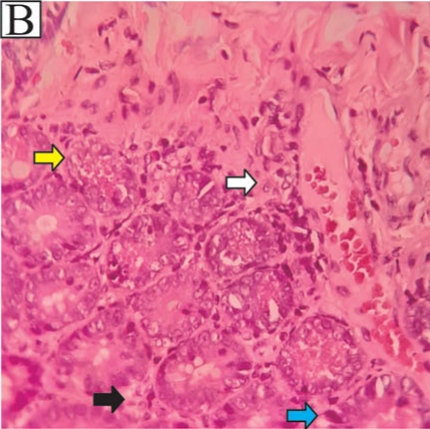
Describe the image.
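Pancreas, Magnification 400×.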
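This is pancreatic tissue made of rounded glandular units surrounded by loose pink connective tissue. The upper part of the field is a broad area of pale pink fibrous stroma with scattered small, dark, round nuclei of inflammatory cells. The glandular units below have cells with pale, foamy, vacuolated cytoplasm and indistinct borders, suggesting necrosis. Some nuclei are small and dense, as in pyknotic cells, while others are faint and pale, as in karyolytic cells. Clusters of red blood cells lie in the stroma at the right side of the field.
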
